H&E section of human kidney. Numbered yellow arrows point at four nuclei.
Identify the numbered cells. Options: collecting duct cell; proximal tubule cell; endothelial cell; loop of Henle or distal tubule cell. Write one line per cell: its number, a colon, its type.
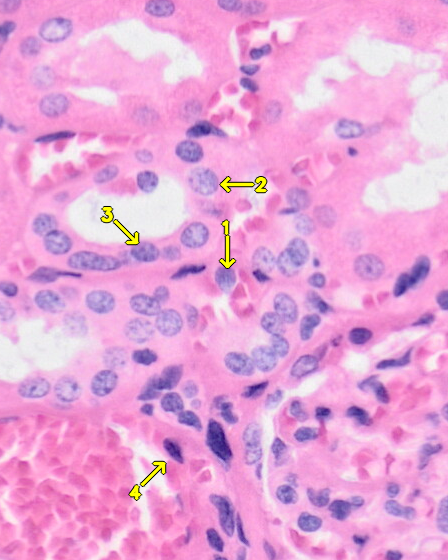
1: endothelial cell
2: collecting duct cell
3: collecting duct cell
4: endothelial cell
